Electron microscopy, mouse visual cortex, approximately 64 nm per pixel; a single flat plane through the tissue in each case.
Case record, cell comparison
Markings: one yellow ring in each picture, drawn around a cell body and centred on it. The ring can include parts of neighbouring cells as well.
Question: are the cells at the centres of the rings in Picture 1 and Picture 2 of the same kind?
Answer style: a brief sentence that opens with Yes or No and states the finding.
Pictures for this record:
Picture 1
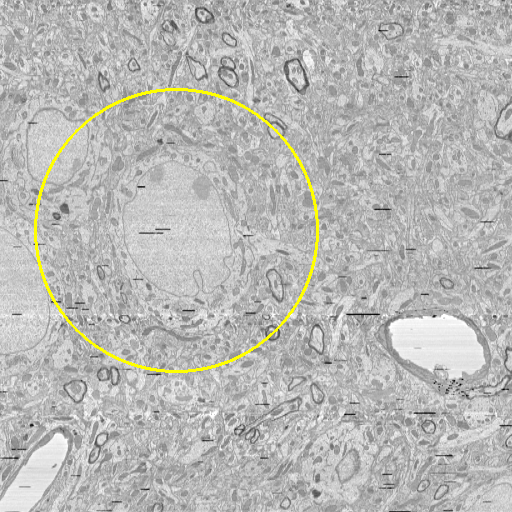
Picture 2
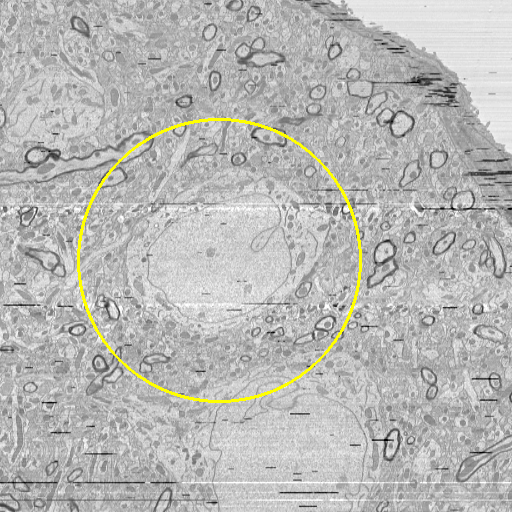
Yes, the cells in Picture 1 and Picture 2 are of the same kind.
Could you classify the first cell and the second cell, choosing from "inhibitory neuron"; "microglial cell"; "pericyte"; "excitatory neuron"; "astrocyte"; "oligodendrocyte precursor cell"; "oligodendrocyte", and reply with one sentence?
In the first picture and in the second, the ring is centred on an excitatory neuron.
